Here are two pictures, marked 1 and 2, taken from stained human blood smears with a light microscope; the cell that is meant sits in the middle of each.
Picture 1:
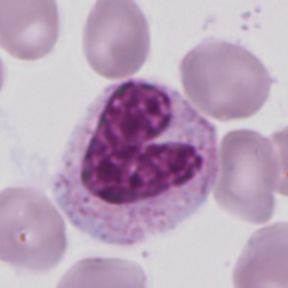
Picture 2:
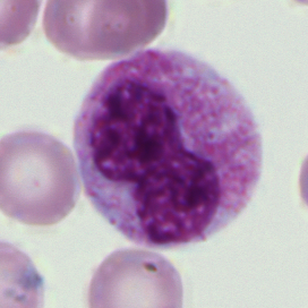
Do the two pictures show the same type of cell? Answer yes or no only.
yes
